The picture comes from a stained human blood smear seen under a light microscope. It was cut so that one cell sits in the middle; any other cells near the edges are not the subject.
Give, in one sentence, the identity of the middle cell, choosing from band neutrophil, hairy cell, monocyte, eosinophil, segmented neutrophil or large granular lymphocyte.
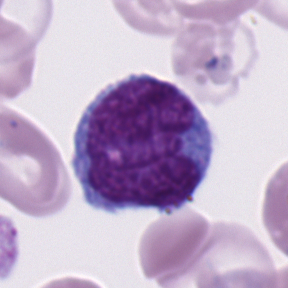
This crop has a monocyte at its centre.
